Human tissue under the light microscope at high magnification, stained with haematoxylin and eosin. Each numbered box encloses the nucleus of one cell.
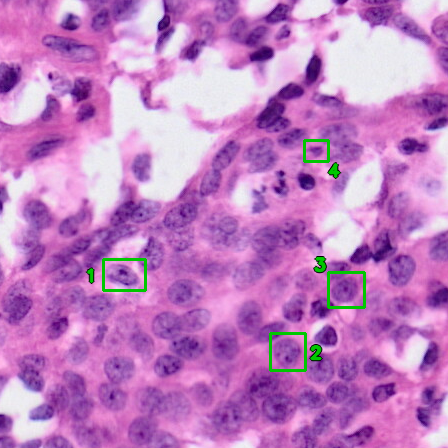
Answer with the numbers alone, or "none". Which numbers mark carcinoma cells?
2, 3, 4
